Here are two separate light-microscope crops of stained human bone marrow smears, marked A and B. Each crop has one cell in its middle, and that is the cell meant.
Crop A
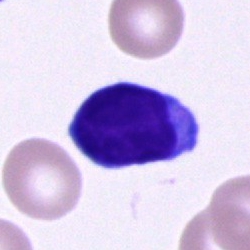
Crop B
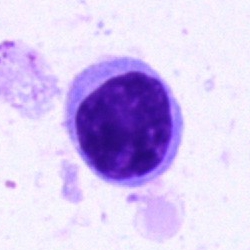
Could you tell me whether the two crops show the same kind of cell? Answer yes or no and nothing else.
yes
